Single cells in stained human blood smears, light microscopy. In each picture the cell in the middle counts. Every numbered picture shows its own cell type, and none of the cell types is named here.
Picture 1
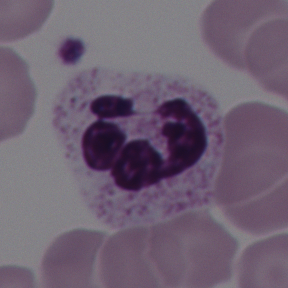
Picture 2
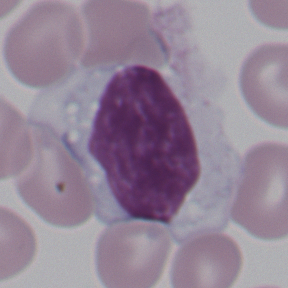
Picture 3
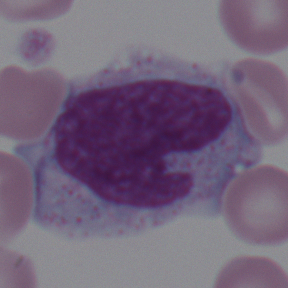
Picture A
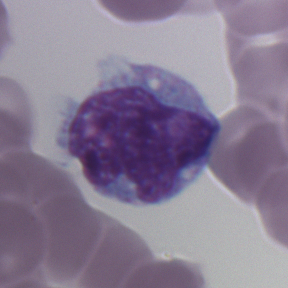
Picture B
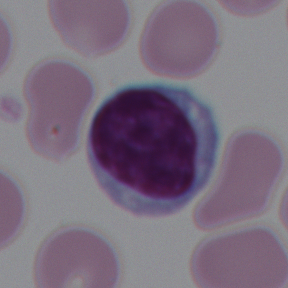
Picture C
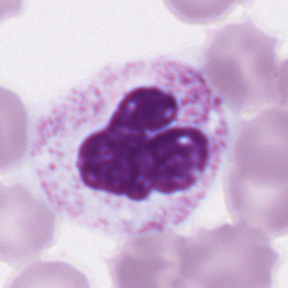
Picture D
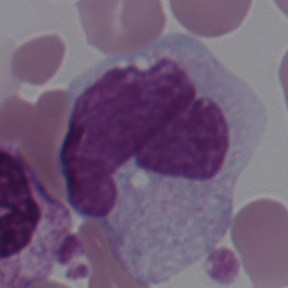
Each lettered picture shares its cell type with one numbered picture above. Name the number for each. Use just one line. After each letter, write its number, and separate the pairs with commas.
A 3, B 2, C 1, D 3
